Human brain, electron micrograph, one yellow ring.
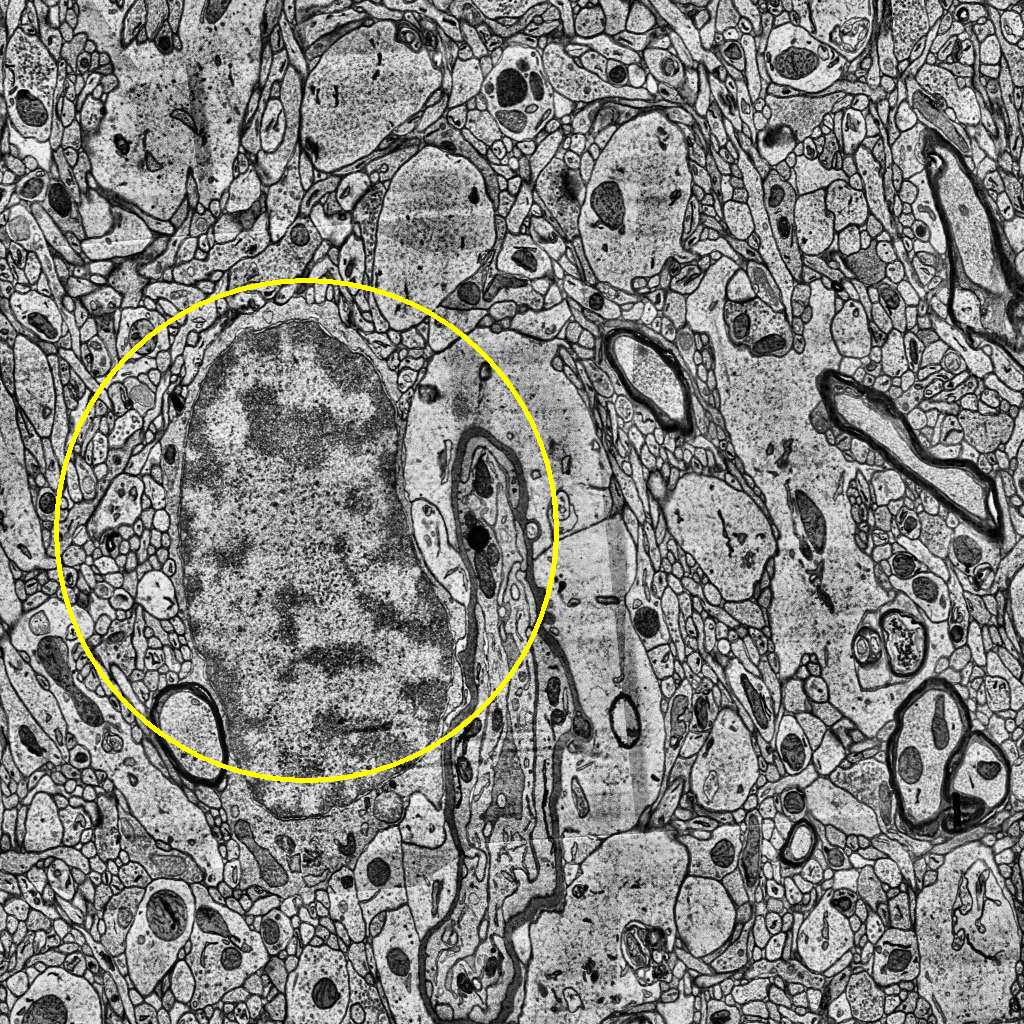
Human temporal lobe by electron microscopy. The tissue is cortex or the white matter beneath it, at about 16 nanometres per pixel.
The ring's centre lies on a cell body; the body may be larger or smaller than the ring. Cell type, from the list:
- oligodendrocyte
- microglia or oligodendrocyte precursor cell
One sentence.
The yellow ring's centre lies on an oligodendrocyte.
